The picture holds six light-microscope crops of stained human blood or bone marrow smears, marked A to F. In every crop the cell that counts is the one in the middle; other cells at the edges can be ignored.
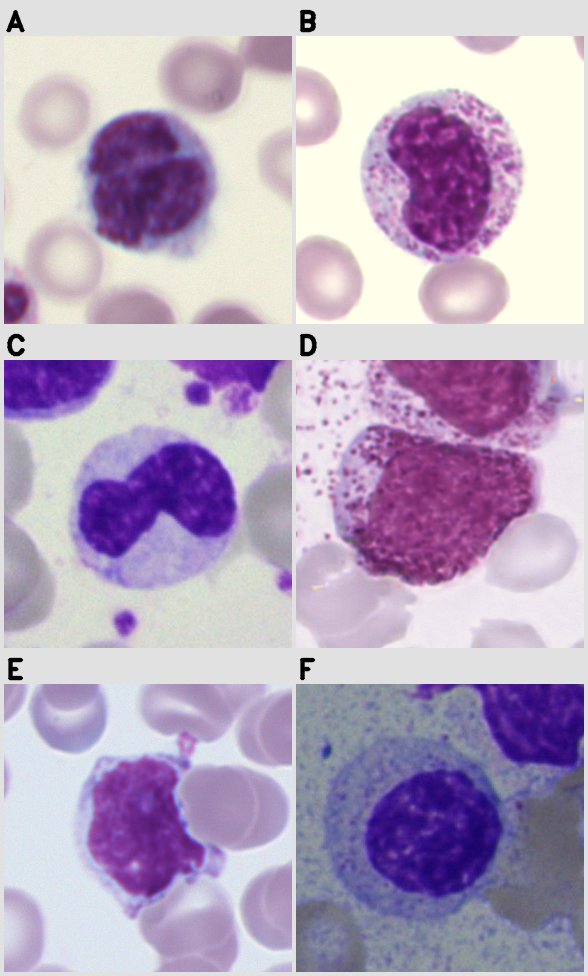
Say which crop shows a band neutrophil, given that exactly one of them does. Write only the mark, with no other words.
C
